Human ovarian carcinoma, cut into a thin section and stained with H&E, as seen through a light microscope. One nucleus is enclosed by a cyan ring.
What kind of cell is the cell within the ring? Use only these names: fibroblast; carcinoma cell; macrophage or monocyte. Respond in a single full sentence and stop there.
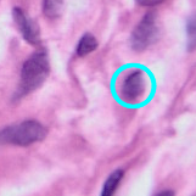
It is a fibroblast that the cell within the ring represents.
